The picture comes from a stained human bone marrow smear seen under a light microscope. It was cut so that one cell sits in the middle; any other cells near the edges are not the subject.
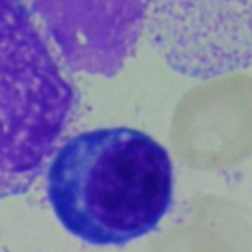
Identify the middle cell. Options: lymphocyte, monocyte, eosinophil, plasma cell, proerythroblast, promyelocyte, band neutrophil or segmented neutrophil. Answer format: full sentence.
In the center of this field lies a plasma cell.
